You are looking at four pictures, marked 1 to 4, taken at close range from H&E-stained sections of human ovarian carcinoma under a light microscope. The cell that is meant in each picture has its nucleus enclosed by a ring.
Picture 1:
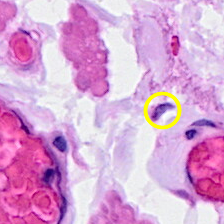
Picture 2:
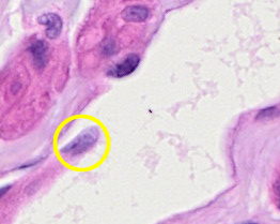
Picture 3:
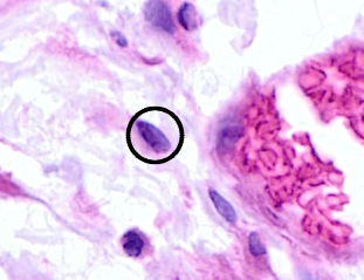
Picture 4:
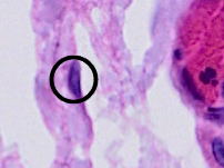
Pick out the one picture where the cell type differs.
2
